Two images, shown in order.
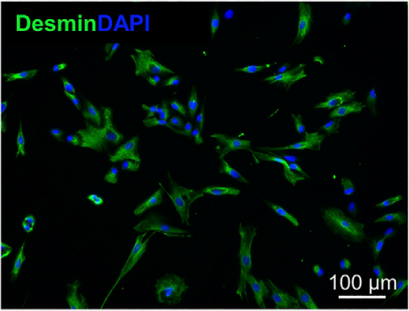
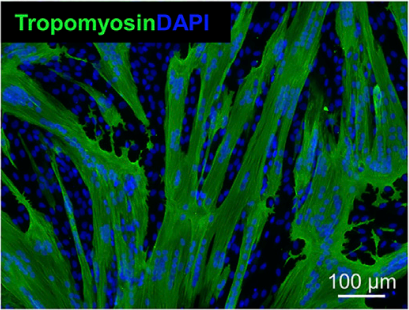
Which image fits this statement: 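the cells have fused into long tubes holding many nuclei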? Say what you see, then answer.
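Second image: long green tubes with many blue nuclei in rows within each tube. First image: separate small green cells, each with a single blue nucleus.
Answer: the second image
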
